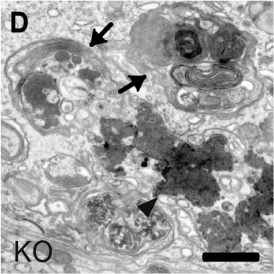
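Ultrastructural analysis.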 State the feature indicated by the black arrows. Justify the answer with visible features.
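Large membrane-bounded compartments contain heterogeneous contents. Some contain concentric multilamellar membrane whorls.
Clusters of vesicular structures filled with autophagic material.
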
